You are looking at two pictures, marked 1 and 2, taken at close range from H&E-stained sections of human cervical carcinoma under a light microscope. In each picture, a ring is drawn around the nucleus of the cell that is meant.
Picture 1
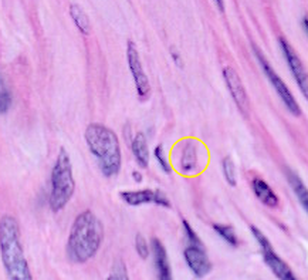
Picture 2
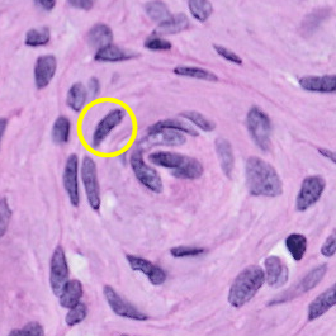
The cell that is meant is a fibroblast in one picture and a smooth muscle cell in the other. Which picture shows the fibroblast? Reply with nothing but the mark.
2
